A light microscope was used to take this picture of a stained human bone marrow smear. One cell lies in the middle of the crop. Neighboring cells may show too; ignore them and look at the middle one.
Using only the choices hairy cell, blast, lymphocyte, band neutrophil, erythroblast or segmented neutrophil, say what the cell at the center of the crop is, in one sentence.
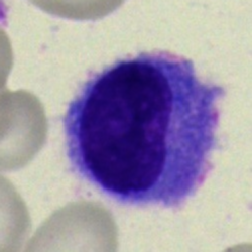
Whatever else lies nearby, the middle cell is a hairy cell.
